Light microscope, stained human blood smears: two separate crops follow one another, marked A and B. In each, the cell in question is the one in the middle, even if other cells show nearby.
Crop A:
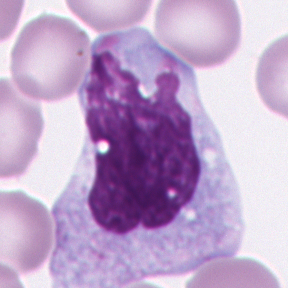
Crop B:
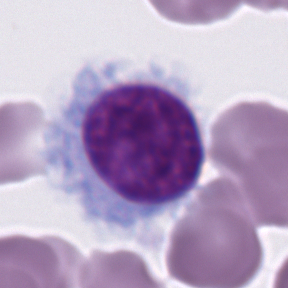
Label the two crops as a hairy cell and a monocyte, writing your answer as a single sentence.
Found in crop A is a monocyte; found in crop B is a hairy cell.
